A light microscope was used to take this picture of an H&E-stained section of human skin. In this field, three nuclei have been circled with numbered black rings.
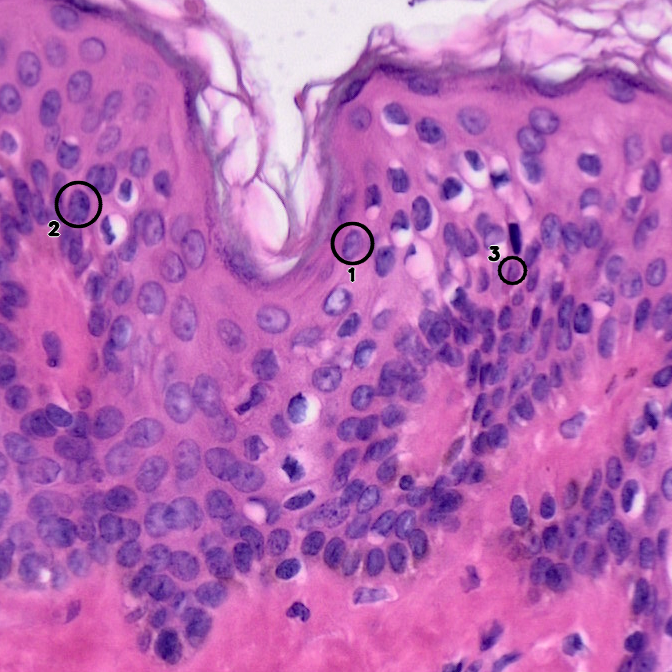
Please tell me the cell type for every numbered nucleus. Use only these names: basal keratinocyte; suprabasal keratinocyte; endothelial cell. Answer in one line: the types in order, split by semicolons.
suprabasal keratinocyte; basal keratinocyte; basal keratinocyte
